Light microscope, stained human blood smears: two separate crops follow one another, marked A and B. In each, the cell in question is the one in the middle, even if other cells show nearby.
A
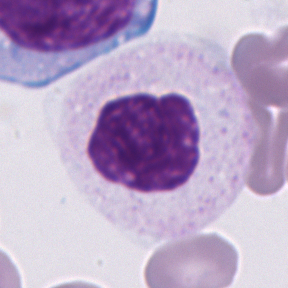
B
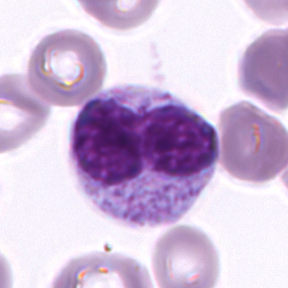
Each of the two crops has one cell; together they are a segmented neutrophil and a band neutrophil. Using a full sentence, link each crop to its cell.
The one in crop A is a segmented neutrophil, and the one in crop B is a band neutrophil.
